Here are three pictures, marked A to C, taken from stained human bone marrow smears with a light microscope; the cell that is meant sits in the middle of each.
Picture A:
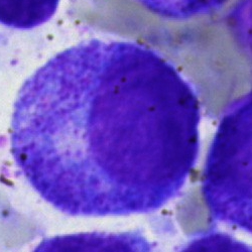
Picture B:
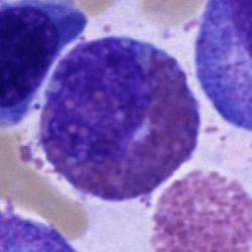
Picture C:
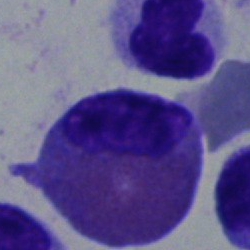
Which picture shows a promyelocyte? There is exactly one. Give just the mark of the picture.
A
